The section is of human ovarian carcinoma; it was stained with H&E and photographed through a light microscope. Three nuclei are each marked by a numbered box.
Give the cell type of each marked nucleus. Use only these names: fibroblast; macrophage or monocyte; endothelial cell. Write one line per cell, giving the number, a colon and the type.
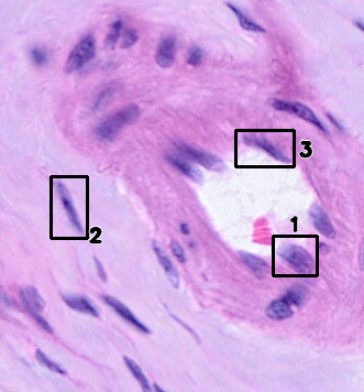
1: endothelial cell
2: fibroblast
3: endothelial cell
